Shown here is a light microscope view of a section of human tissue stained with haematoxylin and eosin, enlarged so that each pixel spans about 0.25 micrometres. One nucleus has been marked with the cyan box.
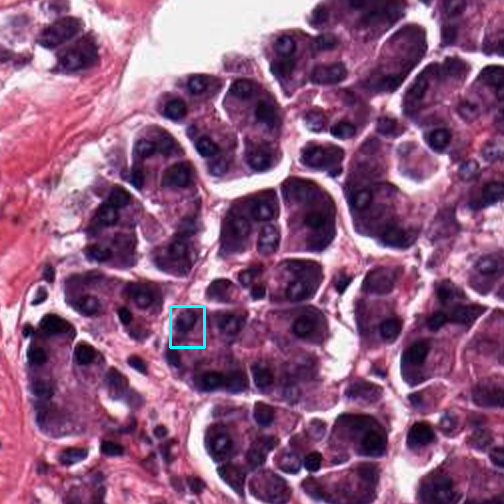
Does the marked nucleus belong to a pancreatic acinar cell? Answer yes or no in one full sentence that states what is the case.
Yes, the marked nucleus is to be read as that of a pancreatic acinar cell.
